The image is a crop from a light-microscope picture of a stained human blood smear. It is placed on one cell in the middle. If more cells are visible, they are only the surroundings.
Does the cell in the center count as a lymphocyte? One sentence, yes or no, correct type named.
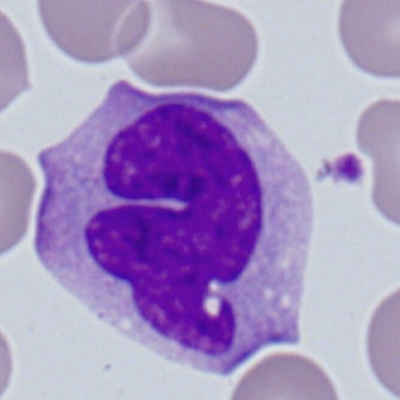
No, what the centre of the crop shows is a monocyte, not a lymphocyte.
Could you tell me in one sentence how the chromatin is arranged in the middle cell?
The chromatin here is fine and lacks any coarse clumps.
